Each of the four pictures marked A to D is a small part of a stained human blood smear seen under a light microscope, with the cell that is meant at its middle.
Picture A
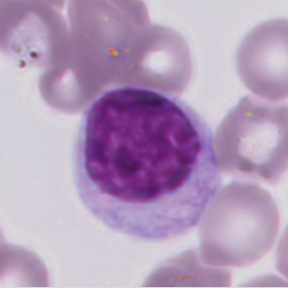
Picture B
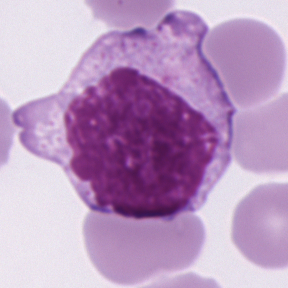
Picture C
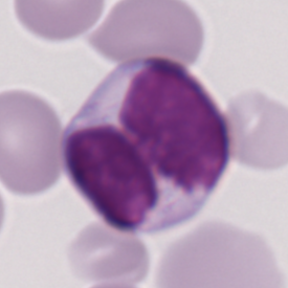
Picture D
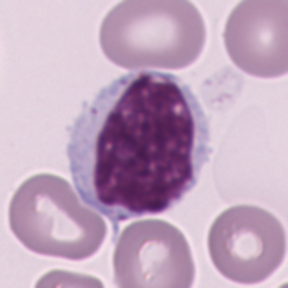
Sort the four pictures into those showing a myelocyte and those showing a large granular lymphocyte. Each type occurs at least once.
A: myelocyte
B: myelocyte
C: large granular lymphocyte
D: large granular lymphocyte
